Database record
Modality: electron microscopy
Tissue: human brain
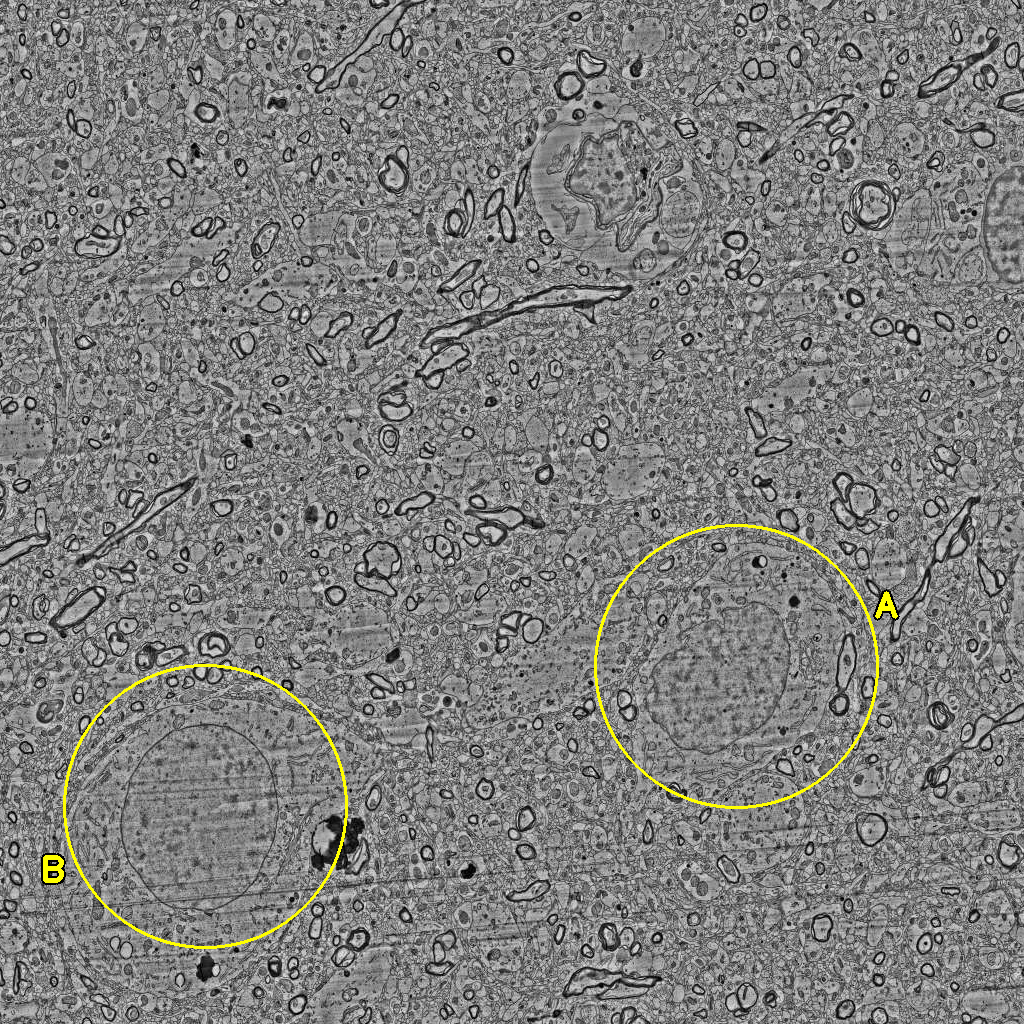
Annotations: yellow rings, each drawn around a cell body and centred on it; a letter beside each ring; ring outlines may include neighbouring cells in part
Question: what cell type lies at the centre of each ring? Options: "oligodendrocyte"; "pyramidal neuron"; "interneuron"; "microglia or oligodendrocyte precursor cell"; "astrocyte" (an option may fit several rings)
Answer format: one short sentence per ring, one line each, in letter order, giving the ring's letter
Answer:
Ring A corresponds to an interneuron.
Ring B corresponds to a pyramidal neuron.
